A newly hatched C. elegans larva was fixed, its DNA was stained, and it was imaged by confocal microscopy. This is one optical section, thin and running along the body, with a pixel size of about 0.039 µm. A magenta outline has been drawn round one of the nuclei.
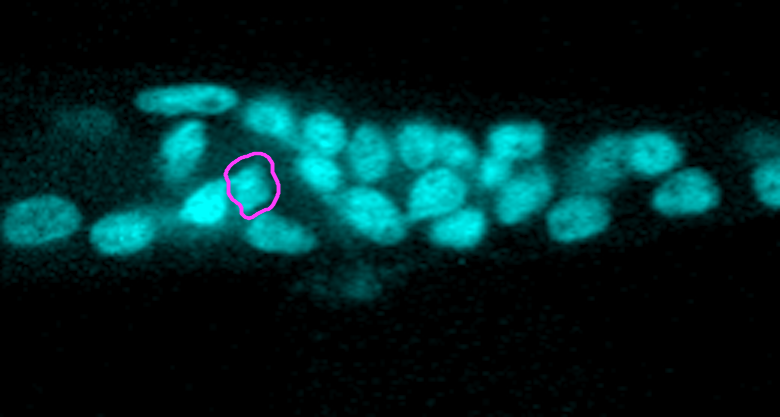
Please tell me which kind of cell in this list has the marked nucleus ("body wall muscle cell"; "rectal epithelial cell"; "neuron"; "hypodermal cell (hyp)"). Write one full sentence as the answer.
It belongs to a rectal epithelial cell.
